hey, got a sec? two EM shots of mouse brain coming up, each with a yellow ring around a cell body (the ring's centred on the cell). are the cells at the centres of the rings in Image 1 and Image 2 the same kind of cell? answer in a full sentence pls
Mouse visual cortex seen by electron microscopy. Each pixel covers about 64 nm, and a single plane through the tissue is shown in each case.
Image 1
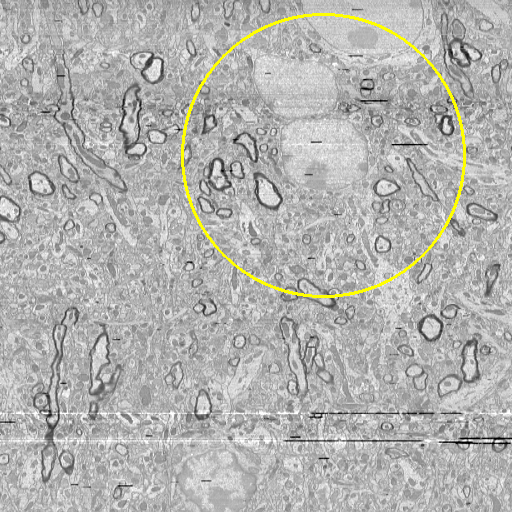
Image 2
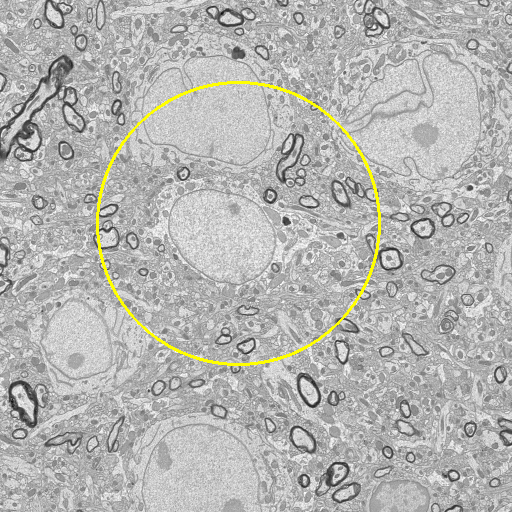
Yes, both are the same kind of cell.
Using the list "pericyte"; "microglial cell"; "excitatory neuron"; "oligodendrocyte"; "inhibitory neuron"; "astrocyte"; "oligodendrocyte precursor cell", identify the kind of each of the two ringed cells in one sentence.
Both the first and the second picture show an astrocyte in the ring.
